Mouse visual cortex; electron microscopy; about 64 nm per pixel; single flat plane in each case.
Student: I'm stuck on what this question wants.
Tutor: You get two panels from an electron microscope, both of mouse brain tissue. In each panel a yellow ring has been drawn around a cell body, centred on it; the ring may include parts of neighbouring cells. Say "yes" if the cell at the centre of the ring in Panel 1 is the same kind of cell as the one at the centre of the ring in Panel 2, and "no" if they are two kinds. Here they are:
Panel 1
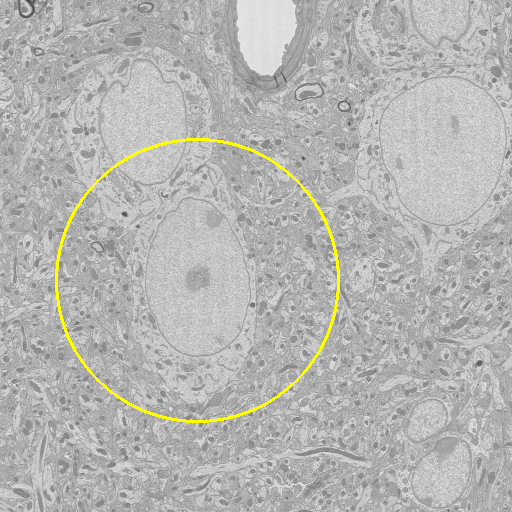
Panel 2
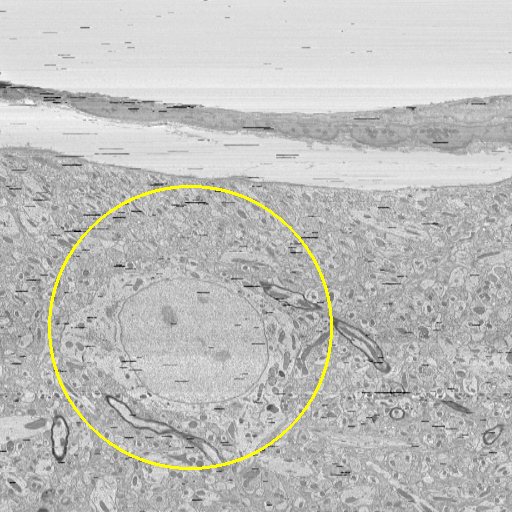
yes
